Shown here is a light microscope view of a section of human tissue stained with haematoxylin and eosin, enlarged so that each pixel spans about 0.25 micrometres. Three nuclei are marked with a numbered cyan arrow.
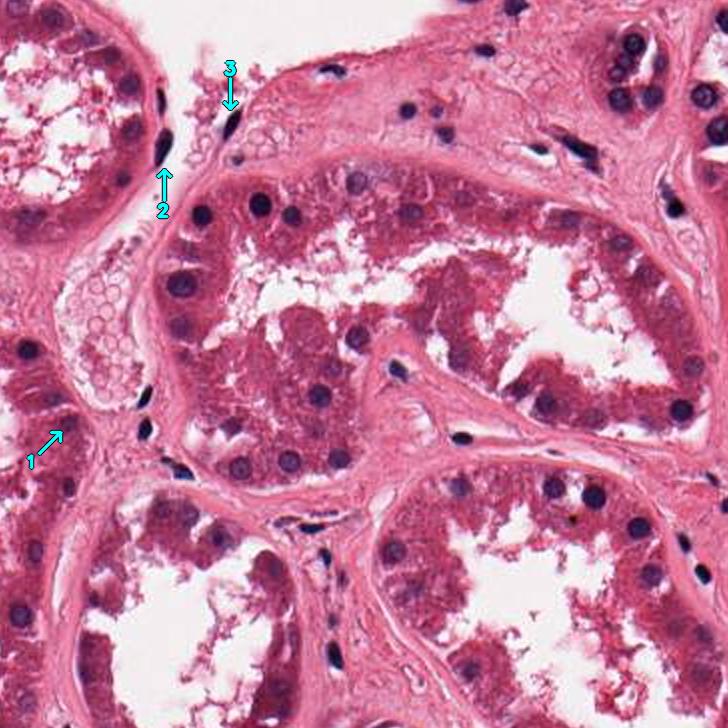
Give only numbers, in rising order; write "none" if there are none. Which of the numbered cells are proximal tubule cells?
1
